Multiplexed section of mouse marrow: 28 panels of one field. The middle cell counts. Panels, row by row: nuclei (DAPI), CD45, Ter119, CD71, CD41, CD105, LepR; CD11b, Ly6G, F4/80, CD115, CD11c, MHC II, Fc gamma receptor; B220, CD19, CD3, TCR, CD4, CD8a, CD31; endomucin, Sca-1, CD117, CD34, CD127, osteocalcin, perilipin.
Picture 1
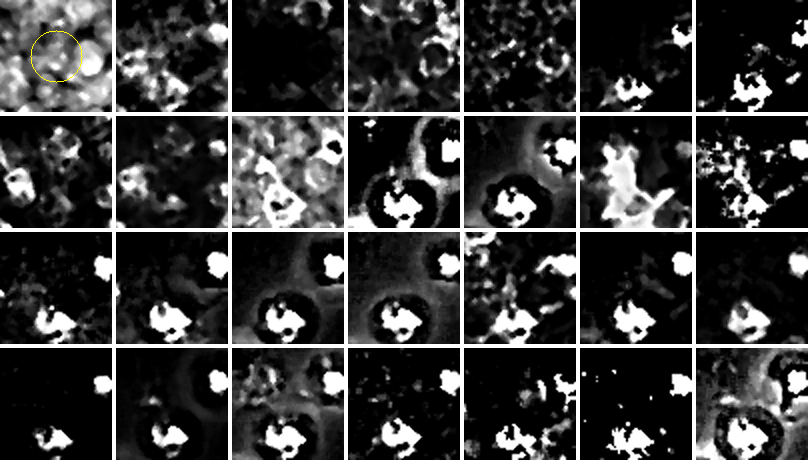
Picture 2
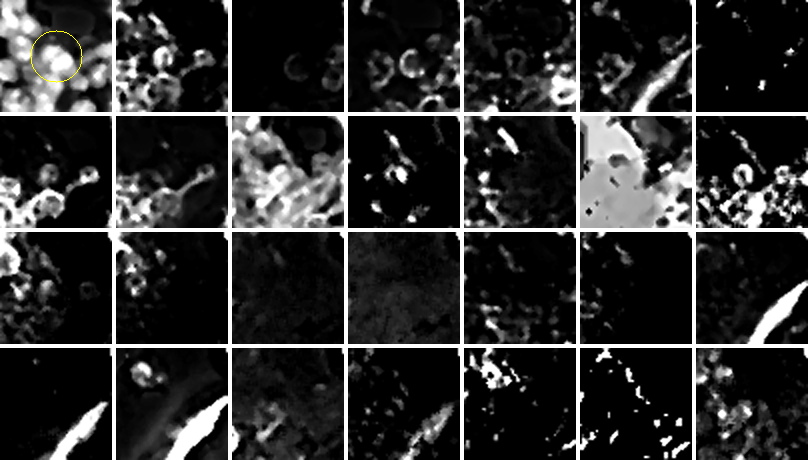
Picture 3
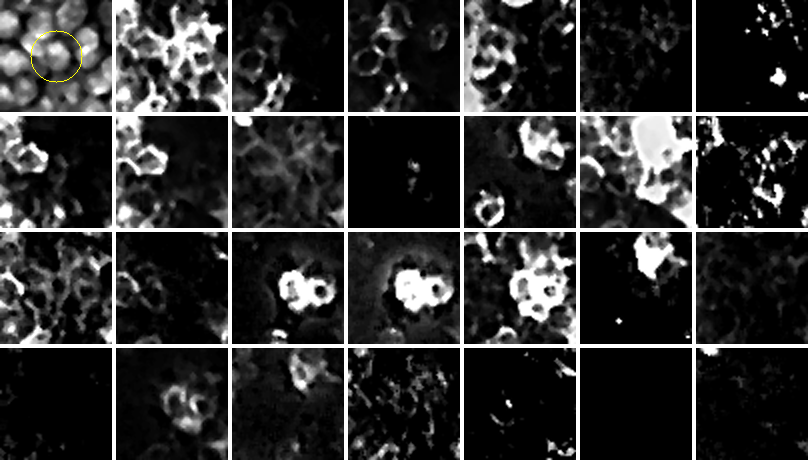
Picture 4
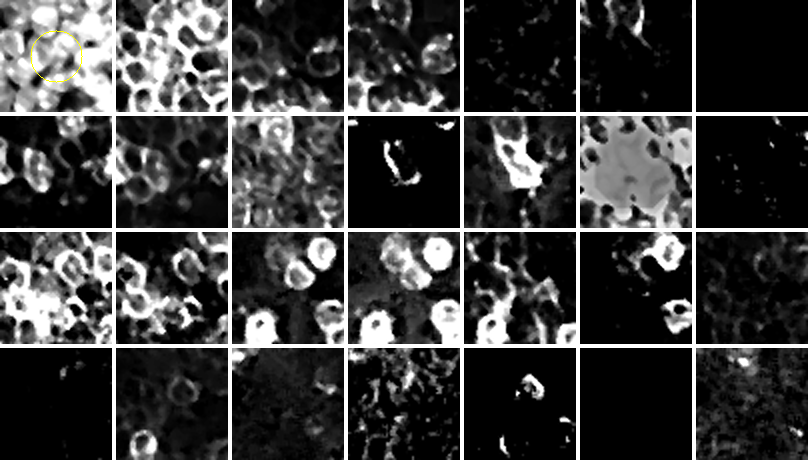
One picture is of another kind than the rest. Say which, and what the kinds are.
Picture 3 shows a CD4 T cell; the rest show monocytes.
